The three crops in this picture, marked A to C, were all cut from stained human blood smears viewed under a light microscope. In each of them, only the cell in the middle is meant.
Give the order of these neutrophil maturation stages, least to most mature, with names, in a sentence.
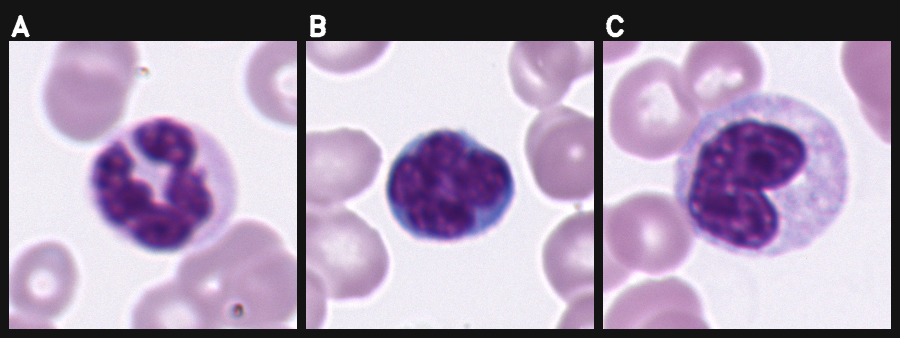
Along a scale from least to most mature, the order is crop B (a blast), crop C (a band neutrophil) and crop A (a segmented neutrophil).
